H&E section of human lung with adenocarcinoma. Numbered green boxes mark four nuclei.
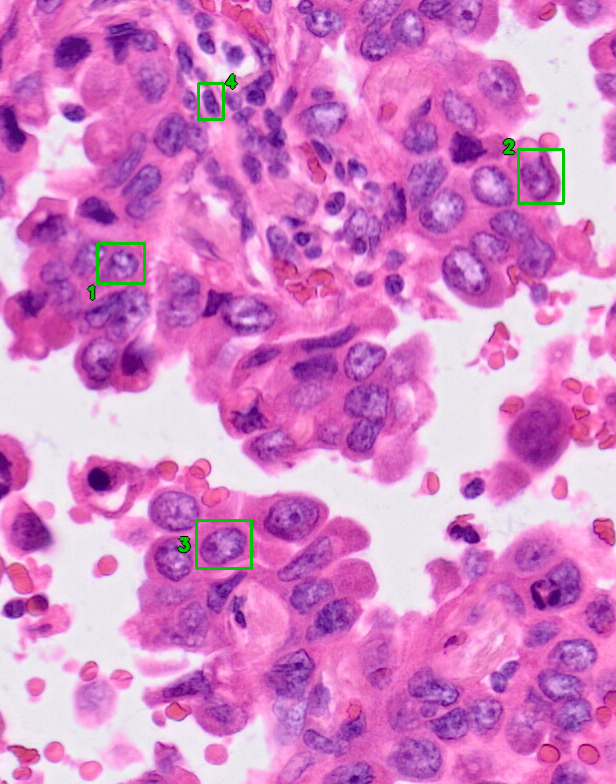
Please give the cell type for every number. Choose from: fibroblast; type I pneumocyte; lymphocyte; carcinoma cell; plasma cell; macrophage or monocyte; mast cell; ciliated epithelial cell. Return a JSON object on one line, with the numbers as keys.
{"1": "carcinoma cell", "2": "carcinoma cell", "3": "carcinoma cell", "4": "lymphocyte"}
